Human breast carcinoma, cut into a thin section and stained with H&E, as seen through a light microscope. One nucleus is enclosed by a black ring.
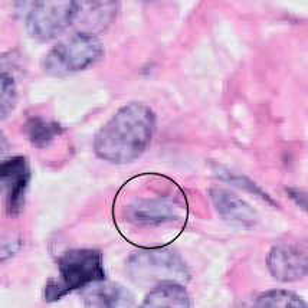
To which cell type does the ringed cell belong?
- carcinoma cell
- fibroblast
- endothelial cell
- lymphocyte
endothelial cell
